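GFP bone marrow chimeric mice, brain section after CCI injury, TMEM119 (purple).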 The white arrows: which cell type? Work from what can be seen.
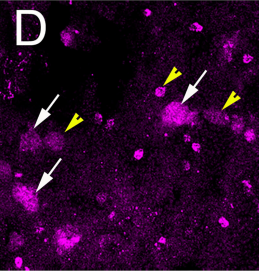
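The marked cells have a compact, rounded shape without long processes. So: amoeboid-resident microglia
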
